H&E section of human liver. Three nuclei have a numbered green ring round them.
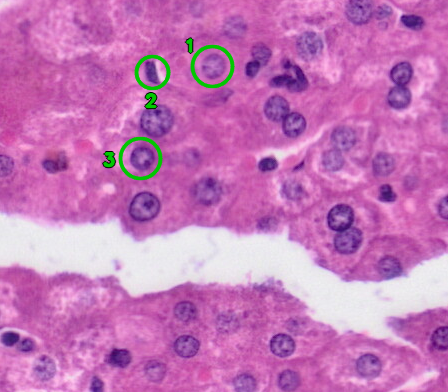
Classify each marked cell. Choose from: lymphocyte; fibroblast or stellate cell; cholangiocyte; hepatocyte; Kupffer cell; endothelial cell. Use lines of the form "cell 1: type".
cell 1: hepatocyte
cell 2: fibroblast or stellate cell
cell 3: hepatocyte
